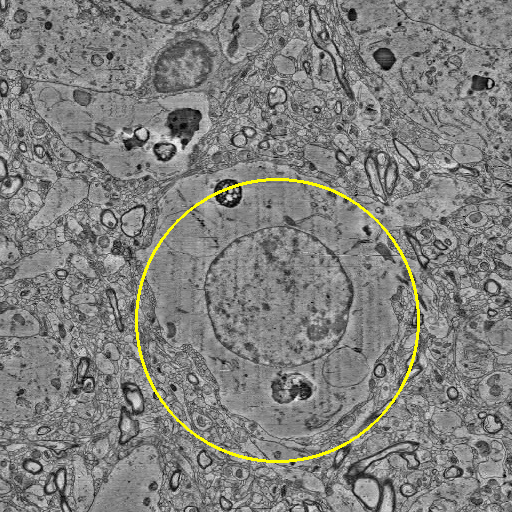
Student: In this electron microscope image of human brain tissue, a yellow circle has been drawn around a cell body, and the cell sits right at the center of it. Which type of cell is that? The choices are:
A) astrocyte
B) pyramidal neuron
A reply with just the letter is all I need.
A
